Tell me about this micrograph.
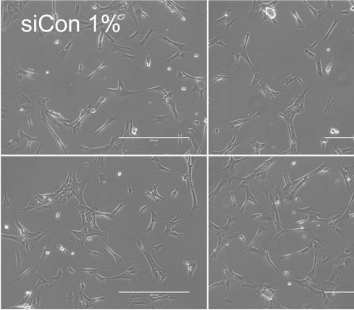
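These four unstained phase-contrast fields show a sparse culture of cells, with wide areas of empty, smooth dish between them. The cells that remain are thin and elongated, some straight and spindle-shaped, others branched with long slender extensions that reach toward neighbours, making a loose open network rather than a sheet. Scattered among them are several small, bright, round objects and clumps, which are cells that have rounded up and come loose, together with debris.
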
